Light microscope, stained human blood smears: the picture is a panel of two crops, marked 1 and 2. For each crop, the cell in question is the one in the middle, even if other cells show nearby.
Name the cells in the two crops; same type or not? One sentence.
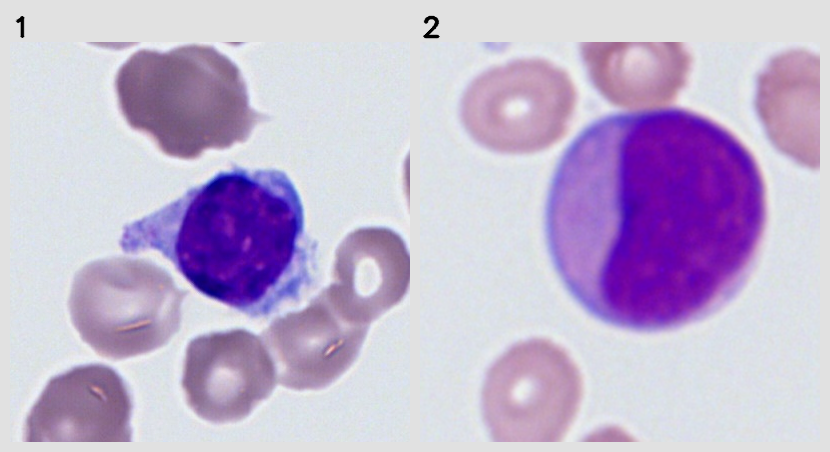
No, crop 1 should be called a lymphocyte, and crop 2 should be called a myeloblast.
